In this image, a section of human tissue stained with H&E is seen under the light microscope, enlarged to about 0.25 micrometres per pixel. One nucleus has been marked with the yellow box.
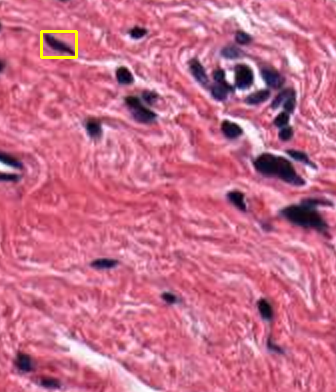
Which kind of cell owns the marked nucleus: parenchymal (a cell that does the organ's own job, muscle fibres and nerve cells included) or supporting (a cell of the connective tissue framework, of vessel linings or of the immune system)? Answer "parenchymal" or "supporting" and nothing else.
supporting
